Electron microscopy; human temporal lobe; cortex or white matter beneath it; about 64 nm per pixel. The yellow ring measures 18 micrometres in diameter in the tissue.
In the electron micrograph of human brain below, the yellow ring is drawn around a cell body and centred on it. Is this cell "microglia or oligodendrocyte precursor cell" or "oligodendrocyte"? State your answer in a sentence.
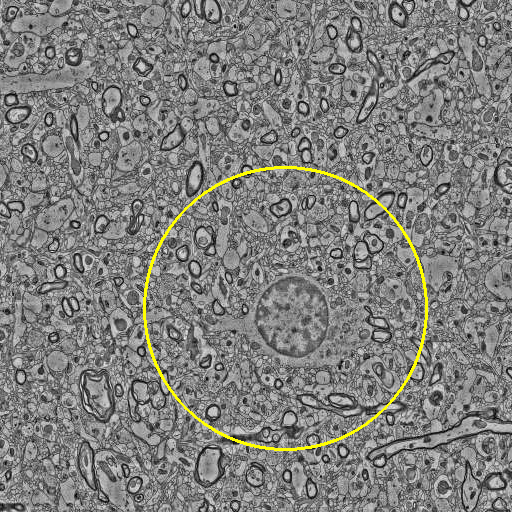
The cell in the middle of the ring is an oligodendrocyte.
